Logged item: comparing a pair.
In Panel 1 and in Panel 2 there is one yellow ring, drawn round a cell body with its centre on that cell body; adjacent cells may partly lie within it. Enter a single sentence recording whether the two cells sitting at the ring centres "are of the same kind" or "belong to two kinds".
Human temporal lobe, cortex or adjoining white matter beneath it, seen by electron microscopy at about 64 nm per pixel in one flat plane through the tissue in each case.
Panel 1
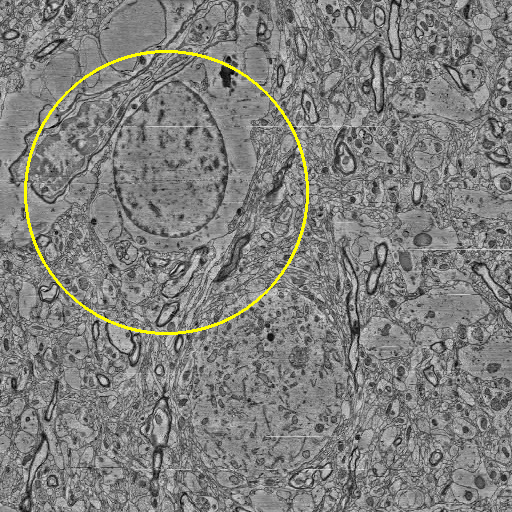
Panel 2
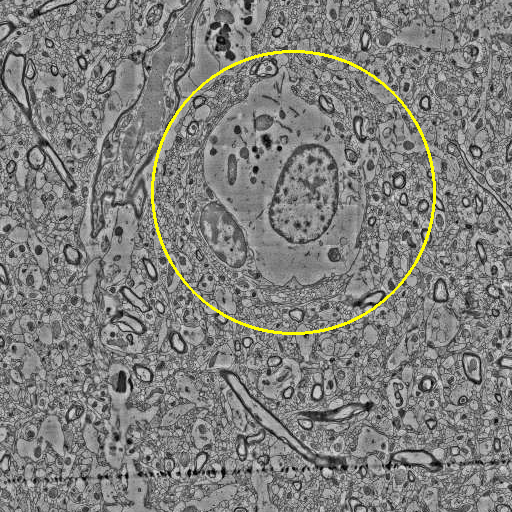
Logged: the cells centred in the rings of Panel 1 and Panel 2 are of the same kind.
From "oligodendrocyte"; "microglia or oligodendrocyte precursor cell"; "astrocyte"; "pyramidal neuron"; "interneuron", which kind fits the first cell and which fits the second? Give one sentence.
Each of the two cells is an astrocyte.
